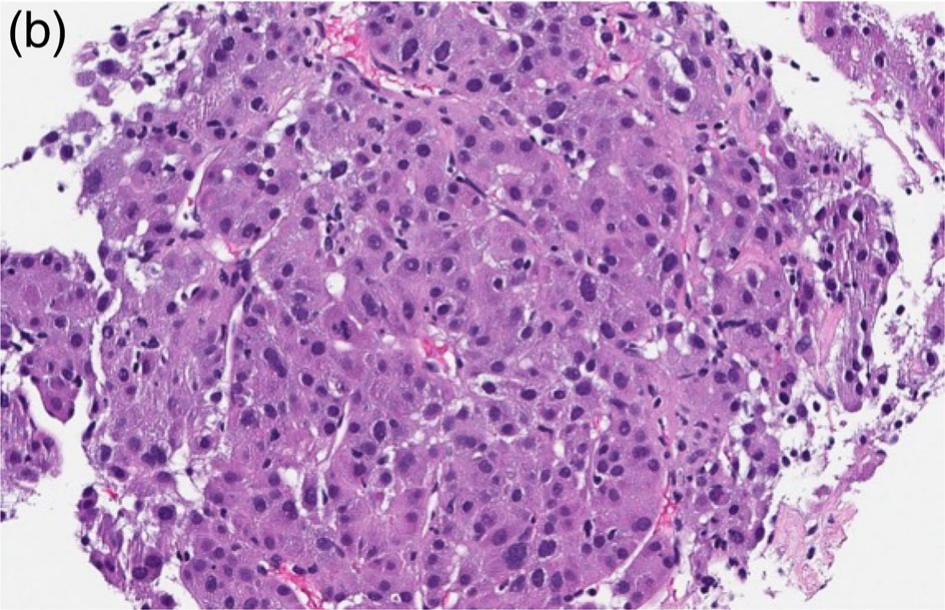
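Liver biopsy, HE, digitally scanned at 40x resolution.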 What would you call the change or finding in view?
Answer: Hepatocellular carcinoma.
